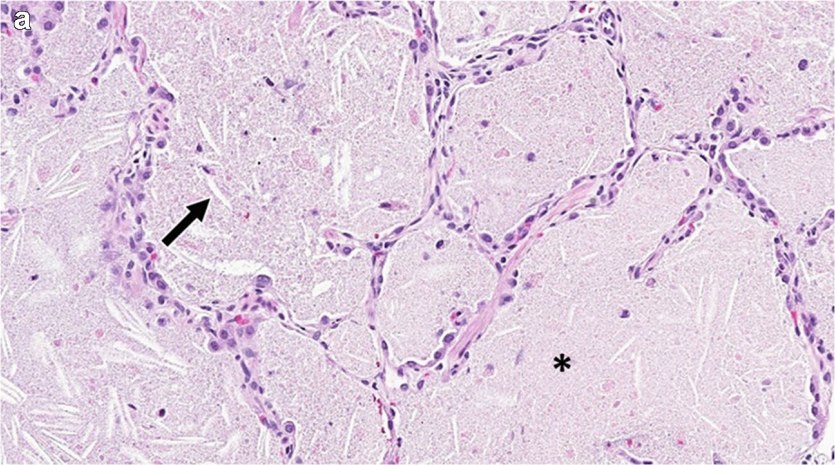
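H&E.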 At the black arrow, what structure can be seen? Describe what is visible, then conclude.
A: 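Slender, empty, needle-shaped clear spaces lie within the pink intra-alveolar material.
Cholesterol clefts.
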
